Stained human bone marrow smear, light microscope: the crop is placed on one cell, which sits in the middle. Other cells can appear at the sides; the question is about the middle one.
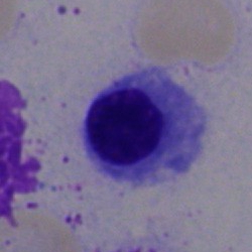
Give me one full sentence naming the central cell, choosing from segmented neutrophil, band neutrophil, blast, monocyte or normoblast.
The cell shown in the center of this light-microscope crop is a normoblast.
